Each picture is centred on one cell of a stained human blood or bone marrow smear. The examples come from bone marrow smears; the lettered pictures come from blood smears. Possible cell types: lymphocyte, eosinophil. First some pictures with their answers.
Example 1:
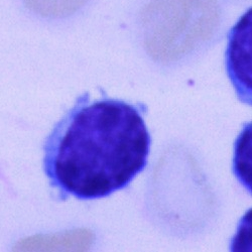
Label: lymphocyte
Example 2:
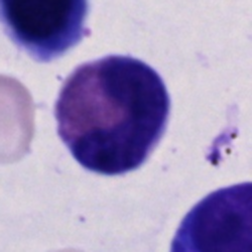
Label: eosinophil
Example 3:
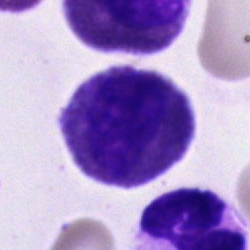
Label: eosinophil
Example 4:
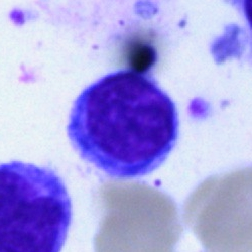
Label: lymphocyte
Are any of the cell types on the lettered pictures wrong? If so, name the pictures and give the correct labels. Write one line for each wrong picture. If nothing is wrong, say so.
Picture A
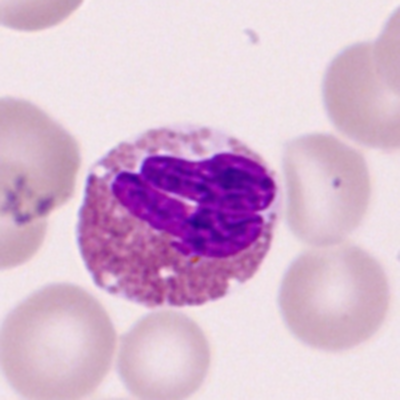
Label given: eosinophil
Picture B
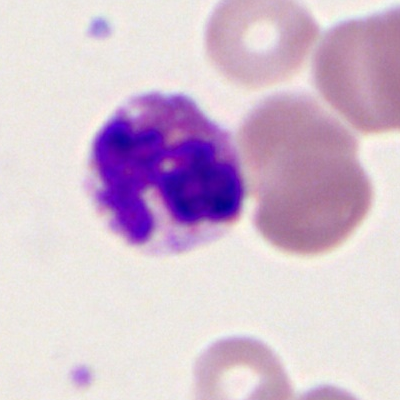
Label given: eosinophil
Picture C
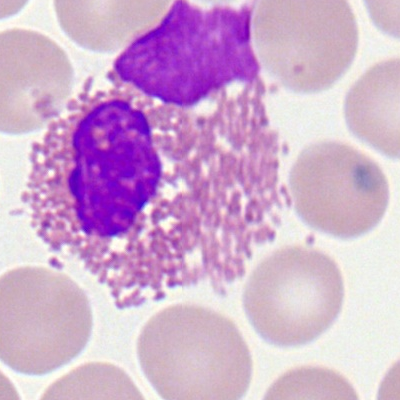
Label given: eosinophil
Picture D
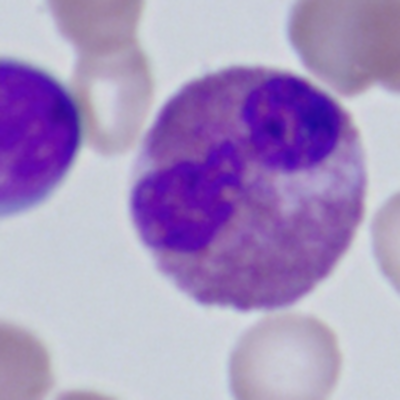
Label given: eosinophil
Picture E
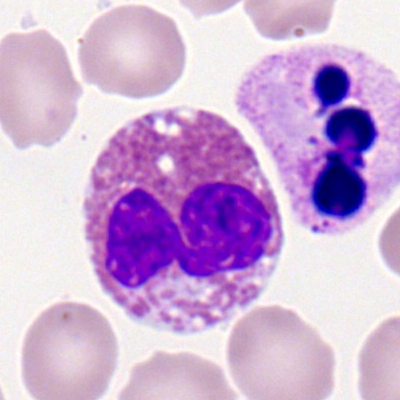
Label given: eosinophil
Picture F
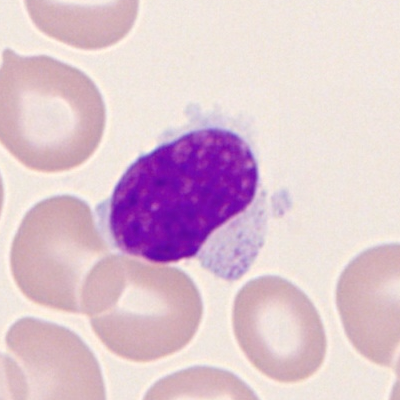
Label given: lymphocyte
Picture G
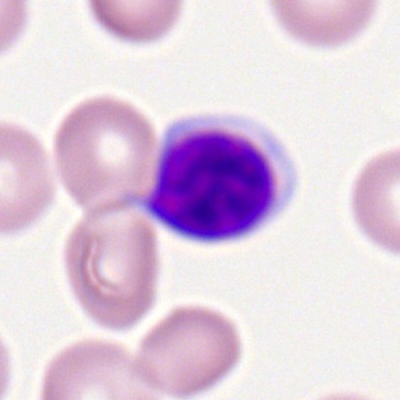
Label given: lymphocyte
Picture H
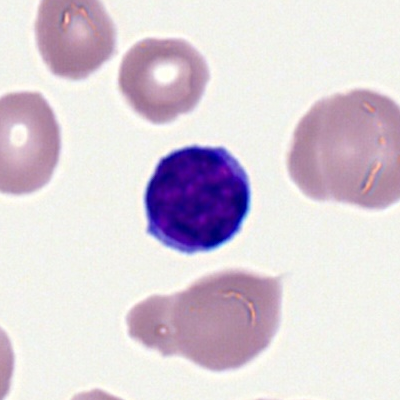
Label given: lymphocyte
Every label is right.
